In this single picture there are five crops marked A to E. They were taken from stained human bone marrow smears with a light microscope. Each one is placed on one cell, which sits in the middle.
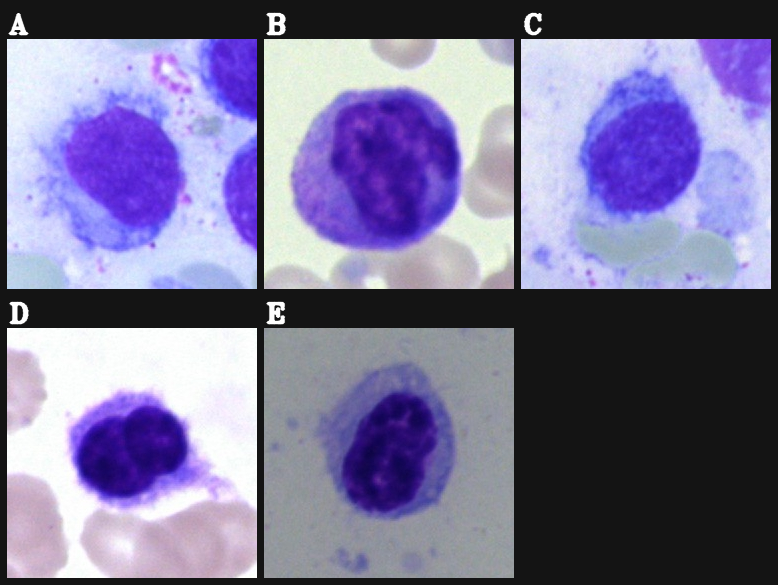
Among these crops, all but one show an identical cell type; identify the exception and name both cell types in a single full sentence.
Crop B holds a monocyte, unlike the remaining crops, all of which hold hairy cells.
